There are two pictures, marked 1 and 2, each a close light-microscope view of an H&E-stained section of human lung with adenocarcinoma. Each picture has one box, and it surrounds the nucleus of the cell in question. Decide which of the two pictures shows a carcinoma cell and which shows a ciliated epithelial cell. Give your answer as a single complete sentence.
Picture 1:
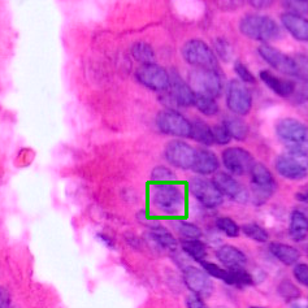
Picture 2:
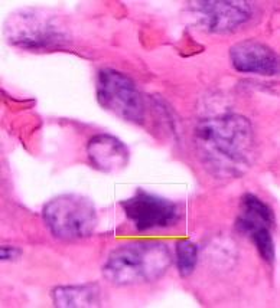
Picture 1 shows a ciliated epithelial cell and picture 2 shows a carcinoma cell.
